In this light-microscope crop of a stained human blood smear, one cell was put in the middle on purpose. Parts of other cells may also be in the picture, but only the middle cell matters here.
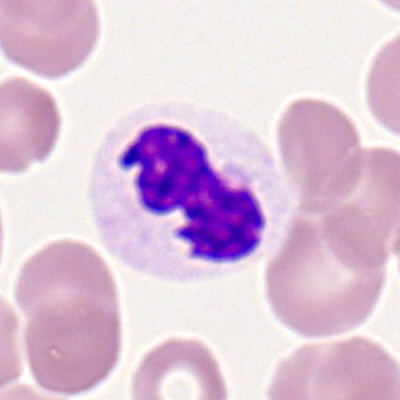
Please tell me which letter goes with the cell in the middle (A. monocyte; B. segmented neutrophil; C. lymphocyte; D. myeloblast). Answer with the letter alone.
B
